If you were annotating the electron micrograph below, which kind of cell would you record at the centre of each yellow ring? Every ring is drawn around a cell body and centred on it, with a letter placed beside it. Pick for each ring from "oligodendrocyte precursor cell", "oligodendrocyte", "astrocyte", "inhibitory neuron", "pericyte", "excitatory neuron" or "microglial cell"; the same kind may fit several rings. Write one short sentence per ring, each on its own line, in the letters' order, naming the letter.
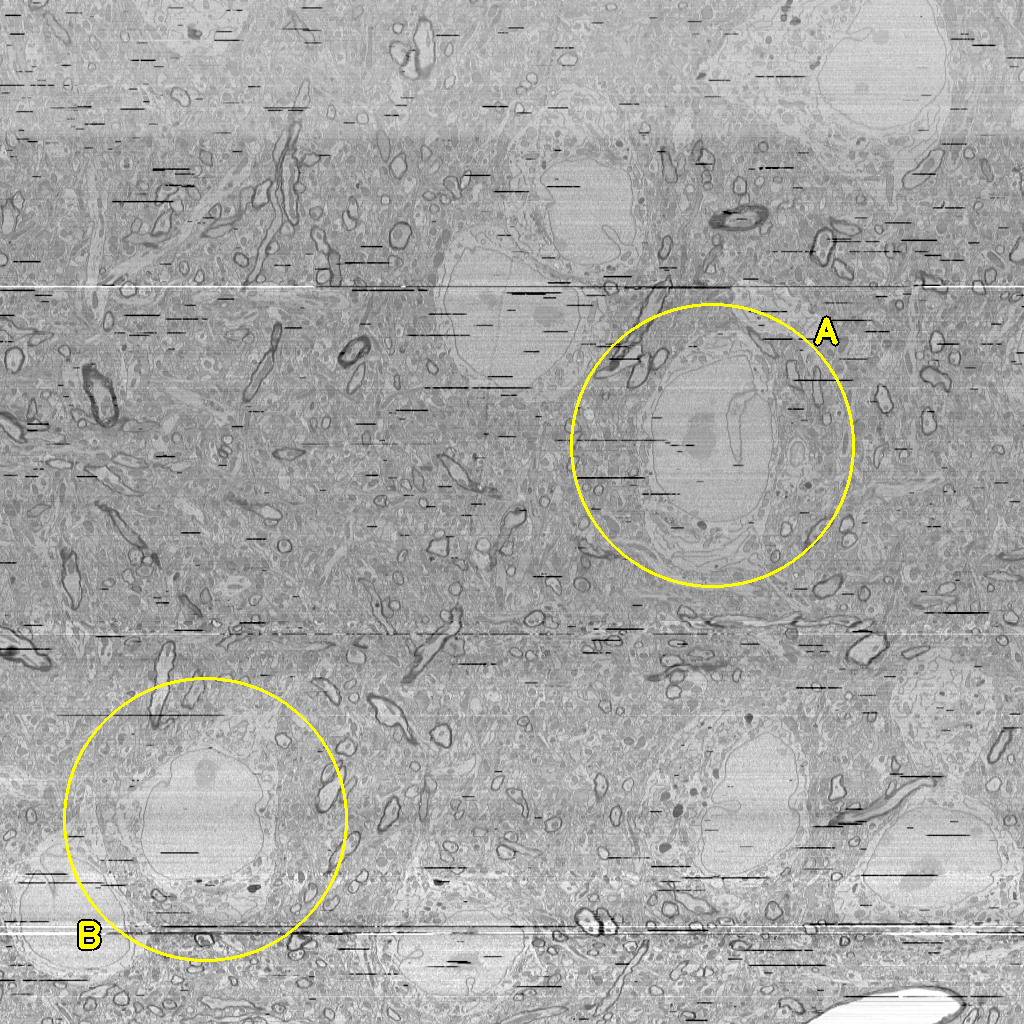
For ring A, I would record an inhibitory neuron.
For ring B, I would record an excitatory neuron.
